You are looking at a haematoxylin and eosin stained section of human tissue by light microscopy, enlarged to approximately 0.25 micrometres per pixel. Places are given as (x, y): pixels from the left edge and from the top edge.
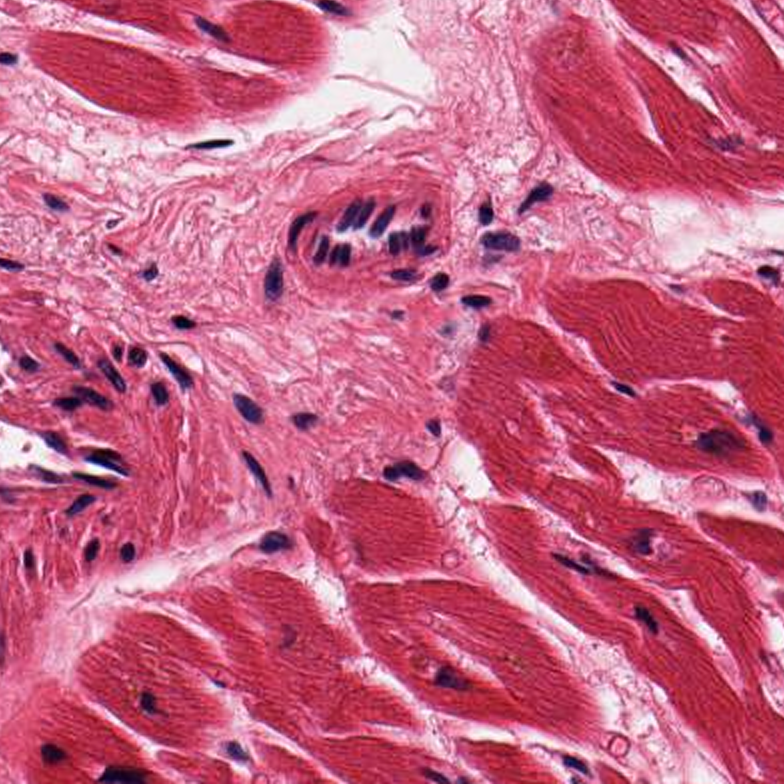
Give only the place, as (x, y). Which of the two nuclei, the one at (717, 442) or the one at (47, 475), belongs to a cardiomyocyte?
(717, 442)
